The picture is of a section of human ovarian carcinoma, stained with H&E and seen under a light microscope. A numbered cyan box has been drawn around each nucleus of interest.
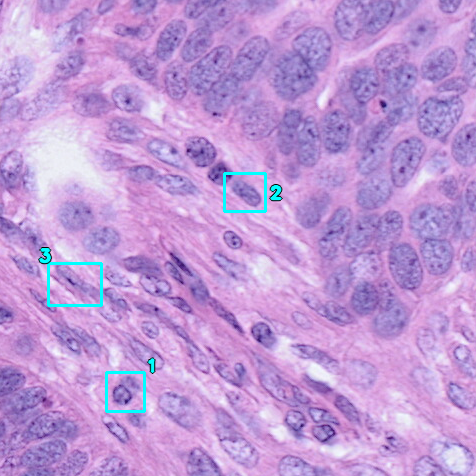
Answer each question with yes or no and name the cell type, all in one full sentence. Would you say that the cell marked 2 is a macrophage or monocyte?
Yes, the cell identified by number 2 is a macrophage or monocyte.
